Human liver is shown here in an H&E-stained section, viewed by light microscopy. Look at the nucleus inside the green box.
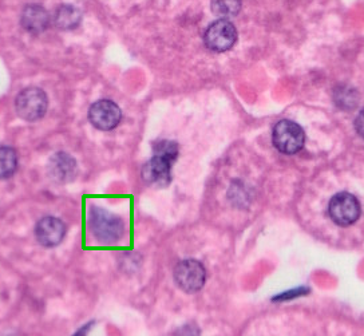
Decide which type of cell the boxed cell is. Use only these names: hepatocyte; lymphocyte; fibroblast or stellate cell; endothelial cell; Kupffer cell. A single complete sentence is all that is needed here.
Just put down that the boxed cell is an endothelial cell.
